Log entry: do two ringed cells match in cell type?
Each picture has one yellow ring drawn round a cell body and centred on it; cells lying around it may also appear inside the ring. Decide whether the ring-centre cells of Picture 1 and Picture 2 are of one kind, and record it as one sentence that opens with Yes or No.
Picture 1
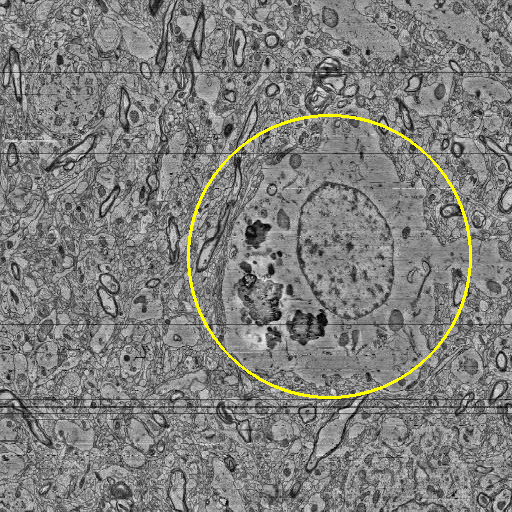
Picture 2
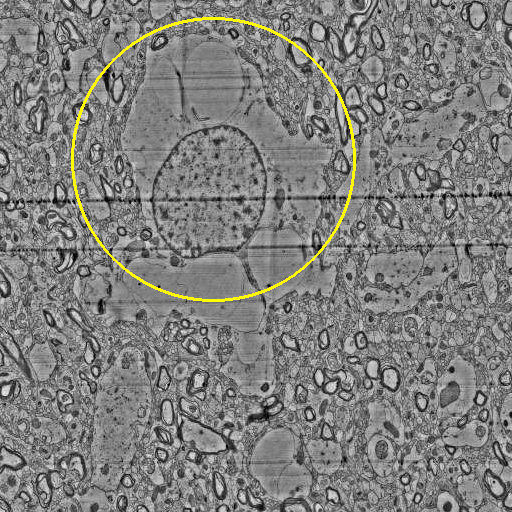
Yes, the cells at the ring centres of the two pictures belong to one kind.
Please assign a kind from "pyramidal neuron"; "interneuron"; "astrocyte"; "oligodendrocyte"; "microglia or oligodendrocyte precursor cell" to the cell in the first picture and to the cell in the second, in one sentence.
The first and the second cell are each an astrocyte.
